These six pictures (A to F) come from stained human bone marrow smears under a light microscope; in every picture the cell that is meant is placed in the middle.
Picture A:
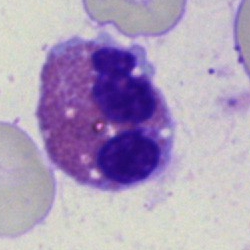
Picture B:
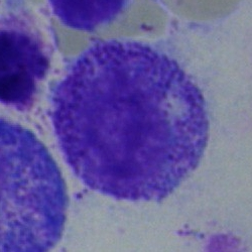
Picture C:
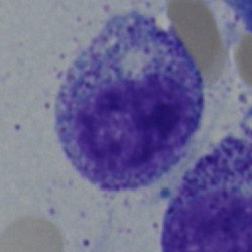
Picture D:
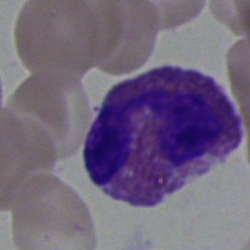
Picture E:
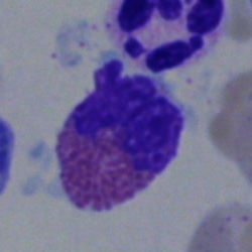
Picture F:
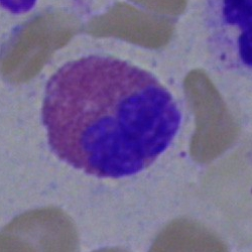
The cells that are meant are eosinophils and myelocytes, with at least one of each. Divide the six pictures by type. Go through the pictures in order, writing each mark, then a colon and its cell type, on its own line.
A: eosinophil
B: myelocyte
C: myelocyte
D: eosinophil
E: eosinophil
F: eosinophil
